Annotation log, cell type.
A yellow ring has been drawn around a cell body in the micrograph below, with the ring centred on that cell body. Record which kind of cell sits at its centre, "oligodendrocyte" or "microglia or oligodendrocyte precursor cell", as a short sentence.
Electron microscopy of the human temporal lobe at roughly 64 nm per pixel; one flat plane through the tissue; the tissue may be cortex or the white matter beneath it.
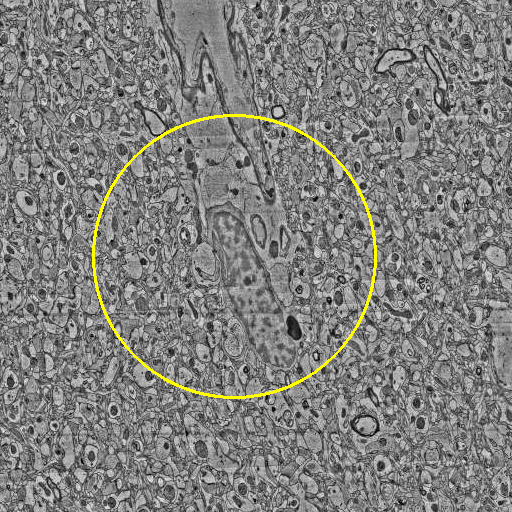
The cell at the centre of this ring is an oligodendrocyte.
